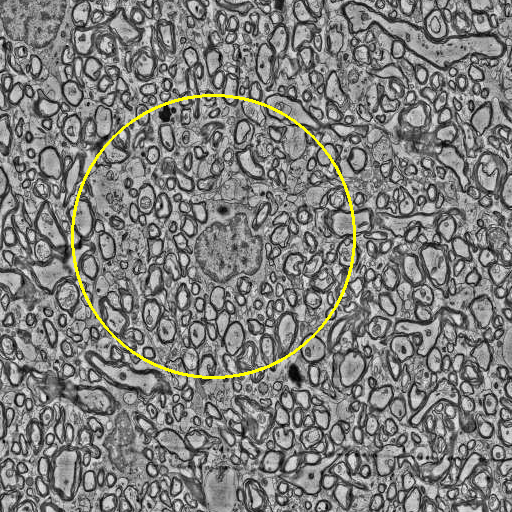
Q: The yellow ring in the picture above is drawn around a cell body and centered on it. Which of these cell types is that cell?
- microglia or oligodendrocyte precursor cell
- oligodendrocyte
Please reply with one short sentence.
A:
The cell body at the ring's center belongs to an oligodendrocyte.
